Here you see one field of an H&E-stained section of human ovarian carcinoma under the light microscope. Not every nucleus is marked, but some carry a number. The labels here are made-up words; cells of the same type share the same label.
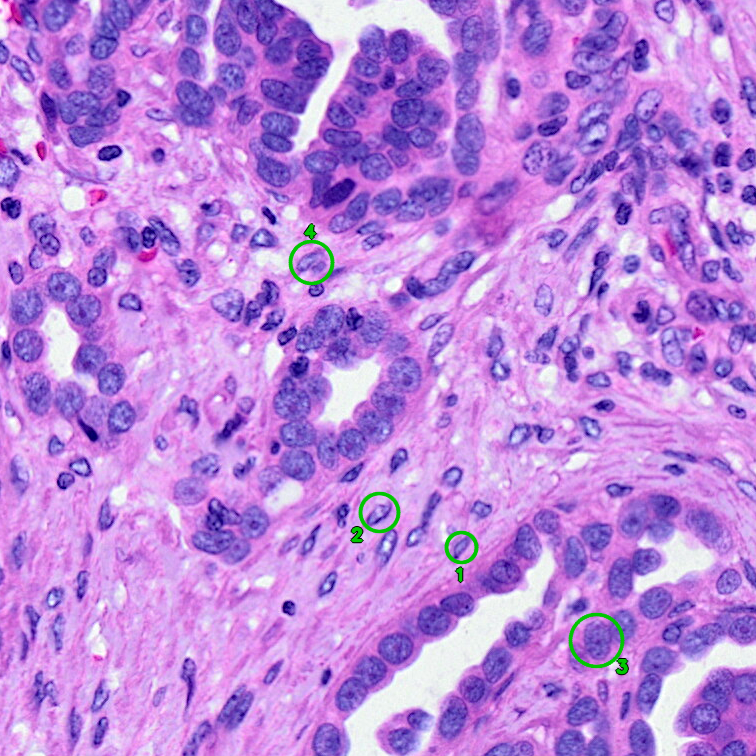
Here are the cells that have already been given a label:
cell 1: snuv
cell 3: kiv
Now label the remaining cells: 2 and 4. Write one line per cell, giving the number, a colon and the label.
2: snuv
4: snuv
